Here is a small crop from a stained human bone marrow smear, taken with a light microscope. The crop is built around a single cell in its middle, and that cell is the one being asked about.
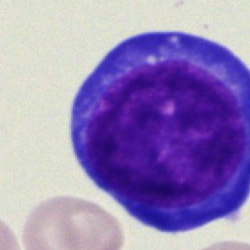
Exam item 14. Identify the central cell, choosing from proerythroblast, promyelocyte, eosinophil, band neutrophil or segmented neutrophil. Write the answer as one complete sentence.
The cell at the centre of the field is a proerythroblast.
